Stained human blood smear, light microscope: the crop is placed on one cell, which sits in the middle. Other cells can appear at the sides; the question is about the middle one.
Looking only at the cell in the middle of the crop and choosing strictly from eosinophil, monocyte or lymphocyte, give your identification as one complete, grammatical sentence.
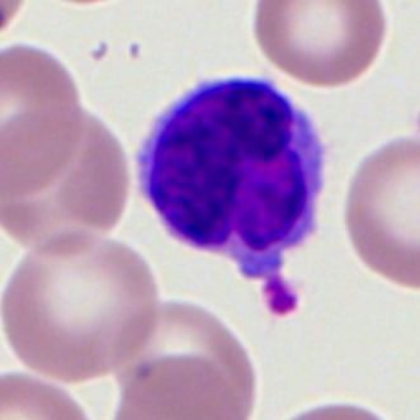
At the middle of the frame sits a lymphocyte.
